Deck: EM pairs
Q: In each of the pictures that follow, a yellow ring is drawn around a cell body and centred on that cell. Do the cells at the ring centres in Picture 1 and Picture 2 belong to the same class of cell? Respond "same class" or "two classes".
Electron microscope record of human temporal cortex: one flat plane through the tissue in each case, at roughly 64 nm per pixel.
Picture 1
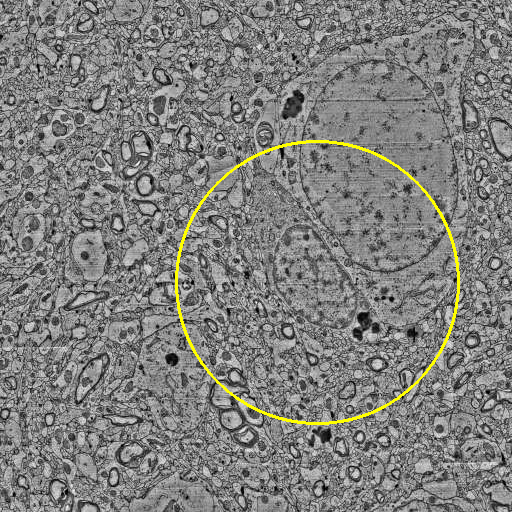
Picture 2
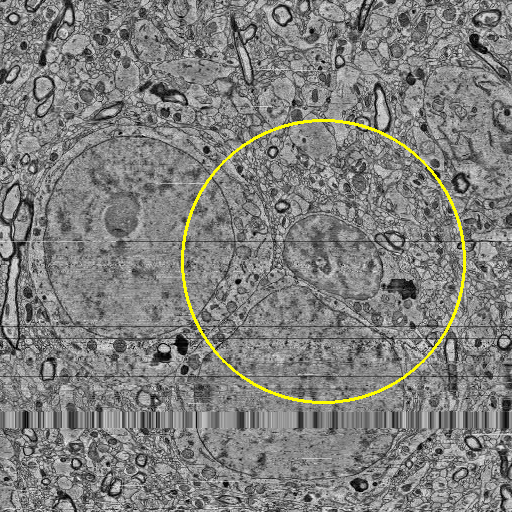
same class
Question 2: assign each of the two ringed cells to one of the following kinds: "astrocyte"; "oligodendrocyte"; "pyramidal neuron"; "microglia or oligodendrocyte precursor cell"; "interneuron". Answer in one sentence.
Each of the two rings surrounds an oligodendrocyte.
